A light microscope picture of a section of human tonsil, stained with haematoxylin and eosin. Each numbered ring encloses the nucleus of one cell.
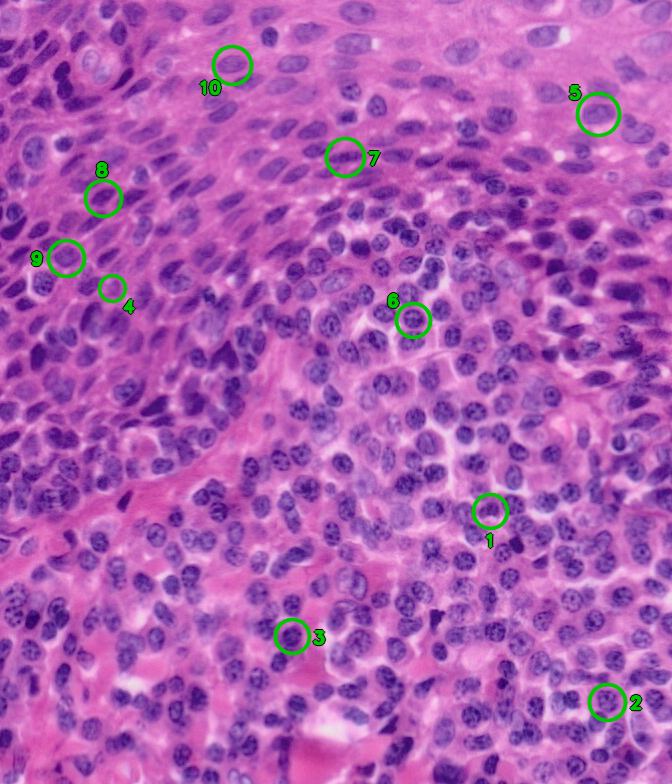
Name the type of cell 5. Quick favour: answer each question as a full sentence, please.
Classified as a squamous epithelial cell is the cell with the number 5.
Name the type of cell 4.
What the number 4 marks in this field is a squamous epithelial cell.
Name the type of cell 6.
The cell indicated by marker 6 is a plasma cell in this section.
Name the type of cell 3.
In this section, the cell numbered 3 is a plasma cell.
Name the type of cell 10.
Classified as a squamous epithelial cell is the cell with the number 10.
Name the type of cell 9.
The cell that carries the label 9 is a squamous epithelial cell.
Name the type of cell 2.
Cell 2 of the marked set is a plasma cell.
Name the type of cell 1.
The cell that bears the number 1 is a plasma cell.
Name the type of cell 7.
The cell tagged with 7 in this tissue section is a squamous epithelial cell.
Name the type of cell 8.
Among the marked cells, number 8 is a squamous epithelial cell.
